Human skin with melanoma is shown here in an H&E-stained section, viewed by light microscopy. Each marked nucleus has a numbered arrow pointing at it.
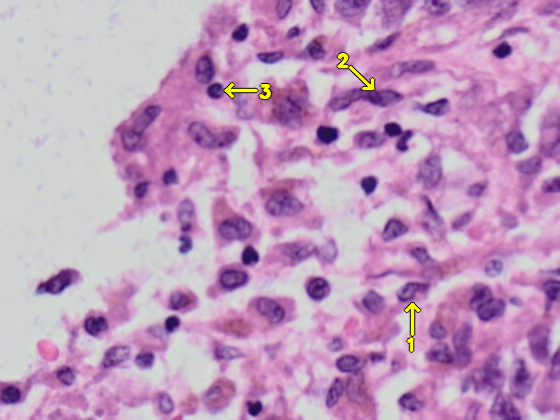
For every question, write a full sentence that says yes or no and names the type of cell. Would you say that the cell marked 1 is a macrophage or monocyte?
Yes, the cell that is numbered 1 is a macrophage or monocyte.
